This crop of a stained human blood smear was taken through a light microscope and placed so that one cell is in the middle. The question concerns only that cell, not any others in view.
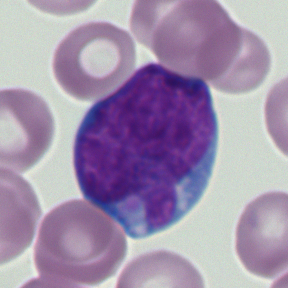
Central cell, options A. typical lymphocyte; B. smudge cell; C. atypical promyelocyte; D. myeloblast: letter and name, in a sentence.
The best answer is option D, since the cell in the middle is a myeloblast.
